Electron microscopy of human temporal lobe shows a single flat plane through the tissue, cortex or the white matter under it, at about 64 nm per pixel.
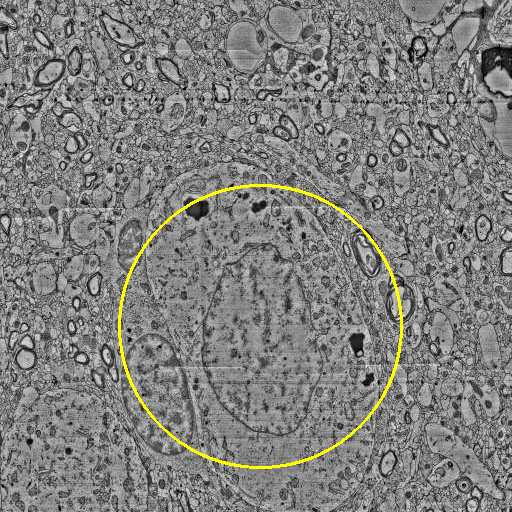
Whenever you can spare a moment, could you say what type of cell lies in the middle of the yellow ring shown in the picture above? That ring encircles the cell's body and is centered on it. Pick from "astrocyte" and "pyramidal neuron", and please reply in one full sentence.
The cell whose body sits at the middle of the yellow ring is a pyramidal neuron.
